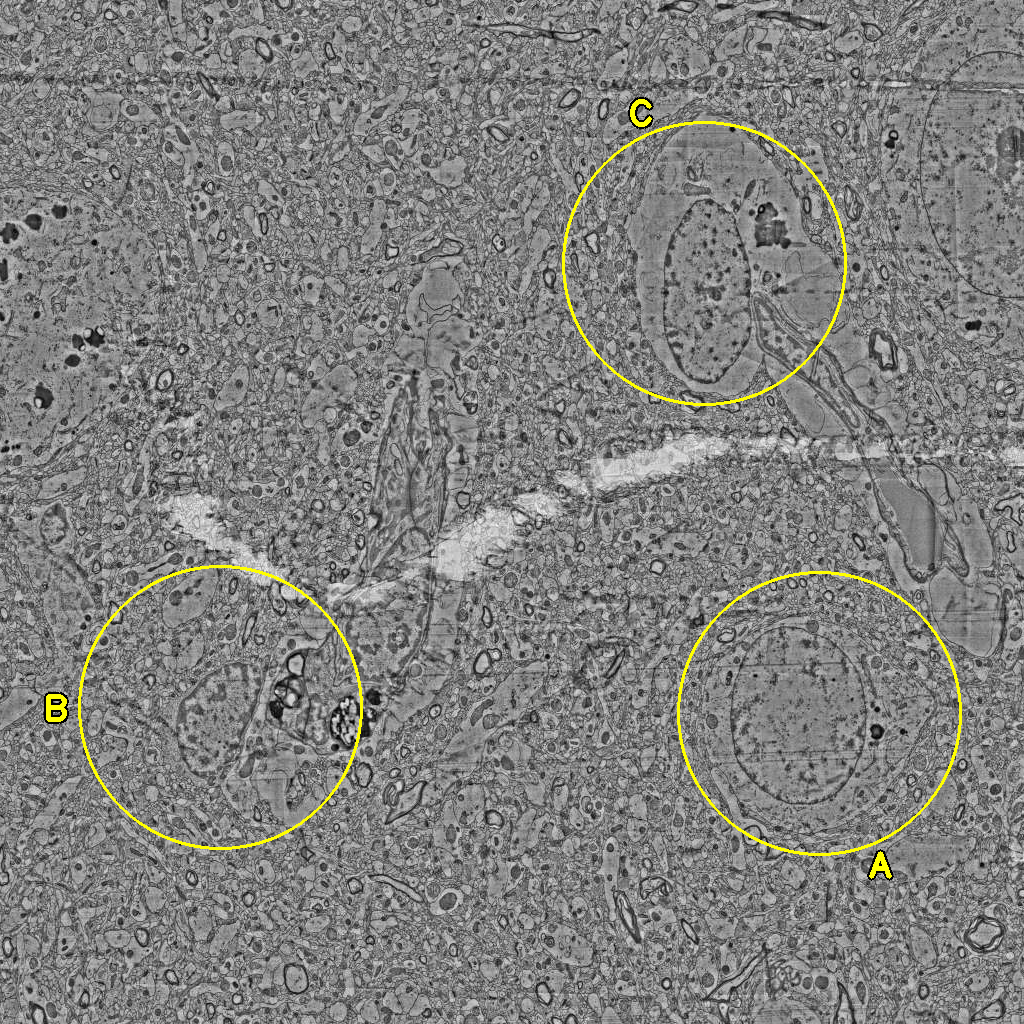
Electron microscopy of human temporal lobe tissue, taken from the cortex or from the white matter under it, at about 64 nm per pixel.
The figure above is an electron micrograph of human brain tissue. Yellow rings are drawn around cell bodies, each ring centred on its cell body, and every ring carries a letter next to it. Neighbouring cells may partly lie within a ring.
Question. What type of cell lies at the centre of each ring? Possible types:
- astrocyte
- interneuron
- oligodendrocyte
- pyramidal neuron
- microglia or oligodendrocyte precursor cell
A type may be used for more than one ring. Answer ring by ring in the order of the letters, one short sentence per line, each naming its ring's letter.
In ring A, the central cell is a pyramidal neuron.
In ring B, the central cell is an oligodendrocyte.
In ring C, the central cell is an astrocyte.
